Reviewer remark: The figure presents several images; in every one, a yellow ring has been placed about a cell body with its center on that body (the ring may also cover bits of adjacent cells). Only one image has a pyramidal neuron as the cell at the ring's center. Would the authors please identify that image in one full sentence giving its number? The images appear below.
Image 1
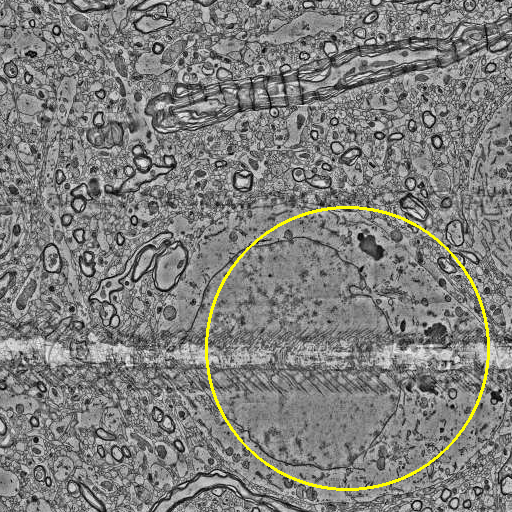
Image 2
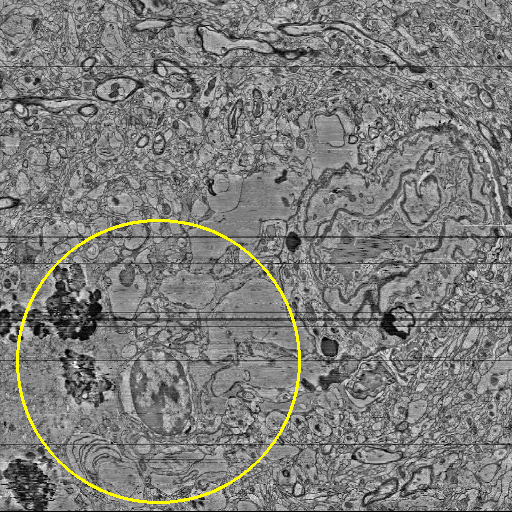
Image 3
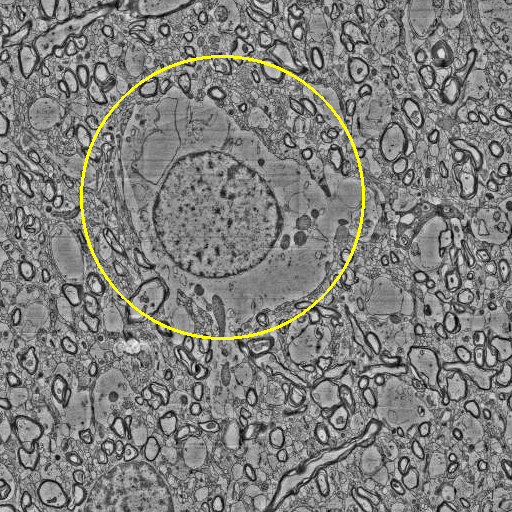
The ring's central cell in image 1 is the one the question describes.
